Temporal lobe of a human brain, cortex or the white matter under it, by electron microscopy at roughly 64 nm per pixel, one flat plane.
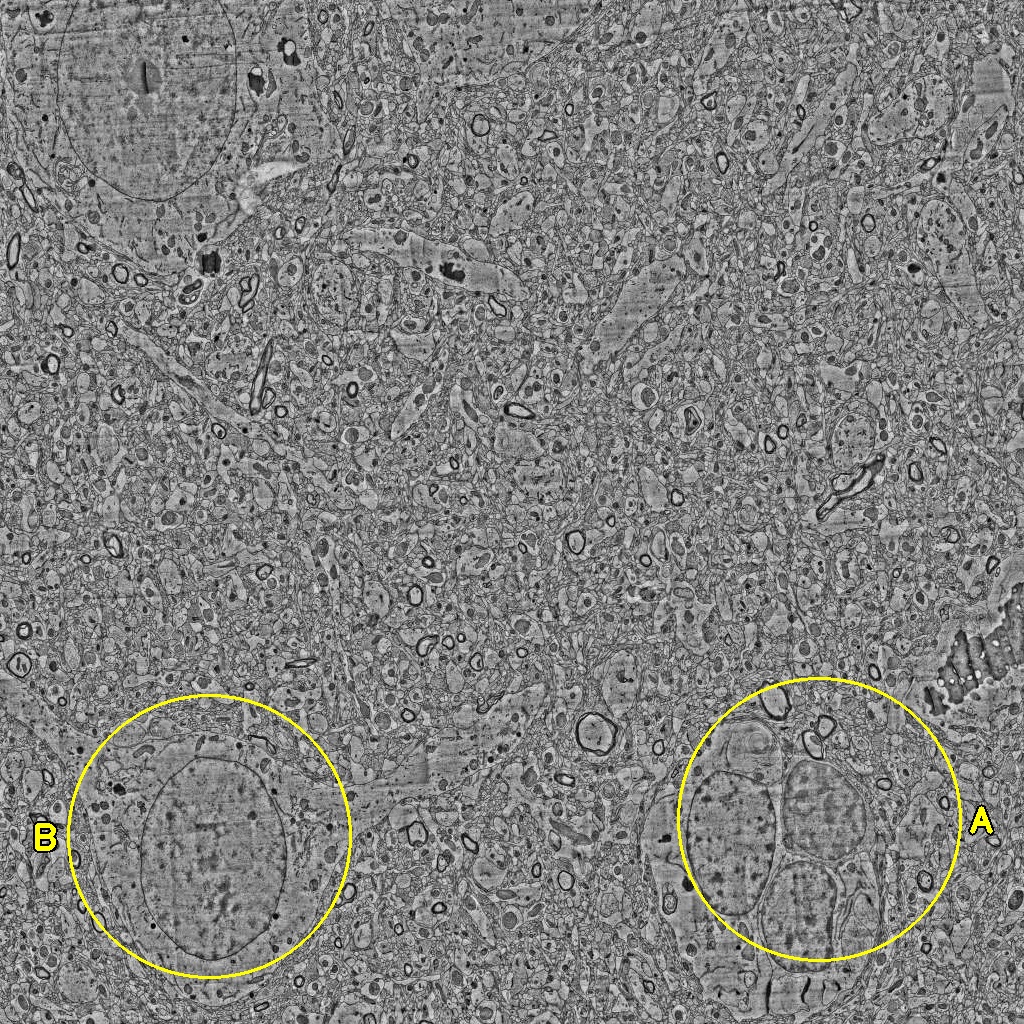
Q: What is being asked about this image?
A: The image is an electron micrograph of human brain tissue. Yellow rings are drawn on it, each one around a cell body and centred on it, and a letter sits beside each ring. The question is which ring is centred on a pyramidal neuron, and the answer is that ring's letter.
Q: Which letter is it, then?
B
